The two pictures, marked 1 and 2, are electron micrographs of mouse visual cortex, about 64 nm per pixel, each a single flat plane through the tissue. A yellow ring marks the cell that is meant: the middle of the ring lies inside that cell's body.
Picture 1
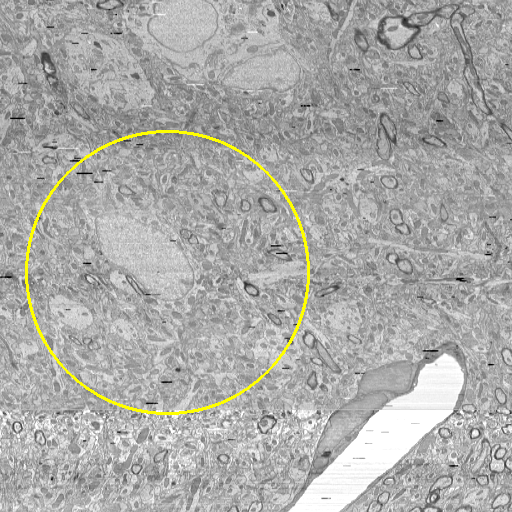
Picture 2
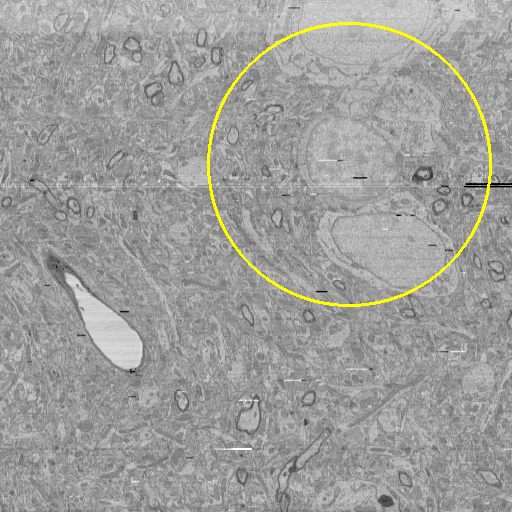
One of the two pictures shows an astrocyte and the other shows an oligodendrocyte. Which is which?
In picture 1 the cell is an astrocyte; in picture 2, an oligodendrocyte.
